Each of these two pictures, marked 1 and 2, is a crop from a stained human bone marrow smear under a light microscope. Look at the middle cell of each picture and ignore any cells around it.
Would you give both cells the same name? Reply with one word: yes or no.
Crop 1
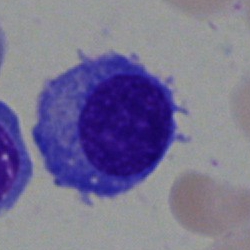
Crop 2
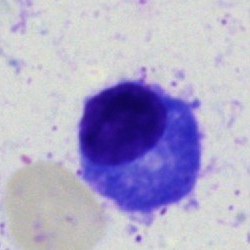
yes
